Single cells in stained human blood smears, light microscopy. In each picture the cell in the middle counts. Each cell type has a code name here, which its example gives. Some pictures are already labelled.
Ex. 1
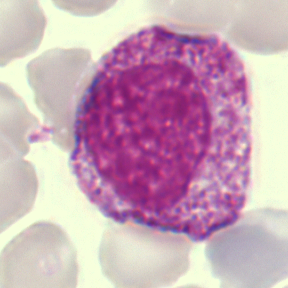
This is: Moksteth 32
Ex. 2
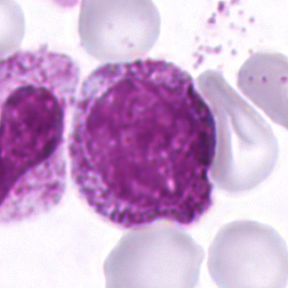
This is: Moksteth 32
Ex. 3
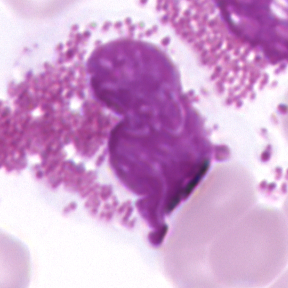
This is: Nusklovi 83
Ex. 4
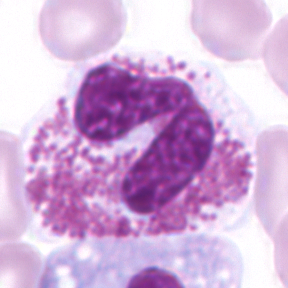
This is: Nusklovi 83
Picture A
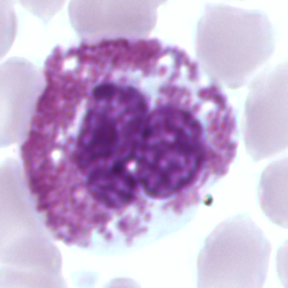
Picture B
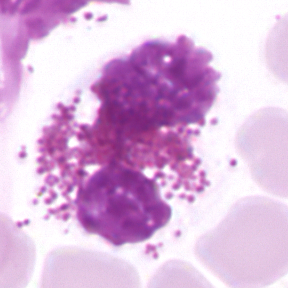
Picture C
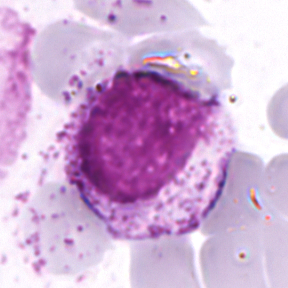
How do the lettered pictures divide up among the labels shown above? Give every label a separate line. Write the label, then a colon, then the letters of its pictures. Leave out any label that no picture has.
Moksteth 32: C
Nusklovi 83: A, B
